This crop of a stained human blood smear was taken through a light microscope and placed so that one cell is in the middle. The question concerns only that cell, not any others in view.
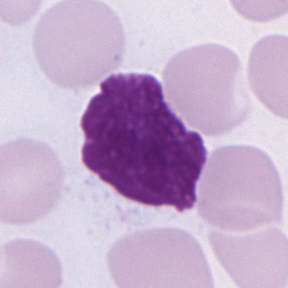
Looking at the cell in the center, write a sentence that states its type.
The cell nearest the centre of this crop is a smudge cell.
